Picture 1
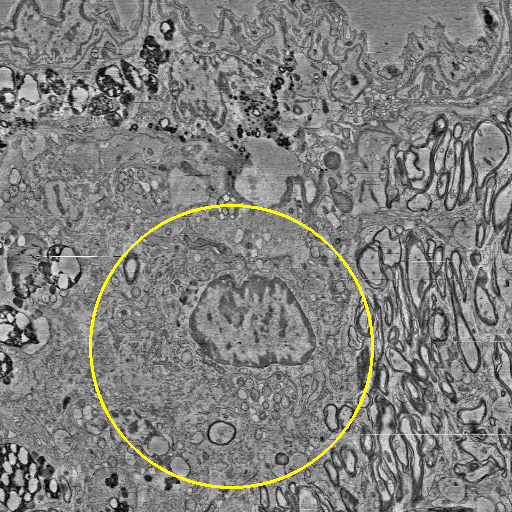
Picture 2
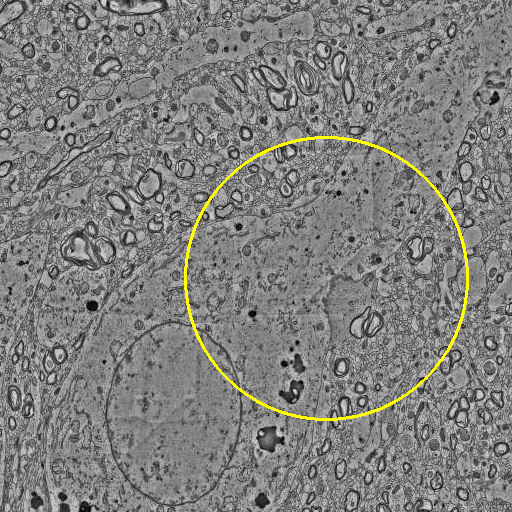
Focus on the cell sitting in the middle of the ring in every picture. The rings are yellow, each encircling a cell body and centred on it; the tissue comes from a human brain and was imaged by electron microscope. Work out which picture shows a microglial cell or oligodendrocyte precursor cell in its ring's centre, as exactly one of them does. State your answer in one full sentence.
In picture 1, the ring is centred on the cell in question.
